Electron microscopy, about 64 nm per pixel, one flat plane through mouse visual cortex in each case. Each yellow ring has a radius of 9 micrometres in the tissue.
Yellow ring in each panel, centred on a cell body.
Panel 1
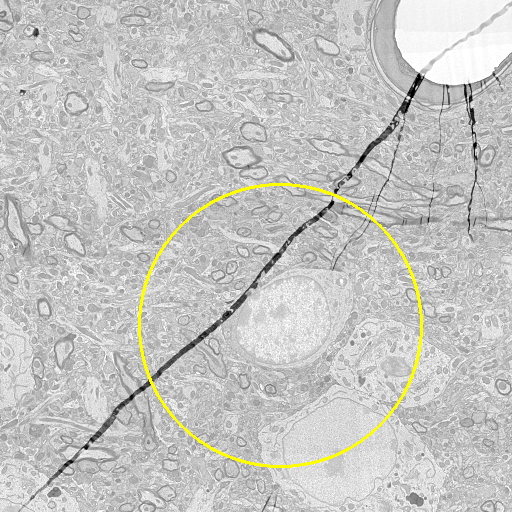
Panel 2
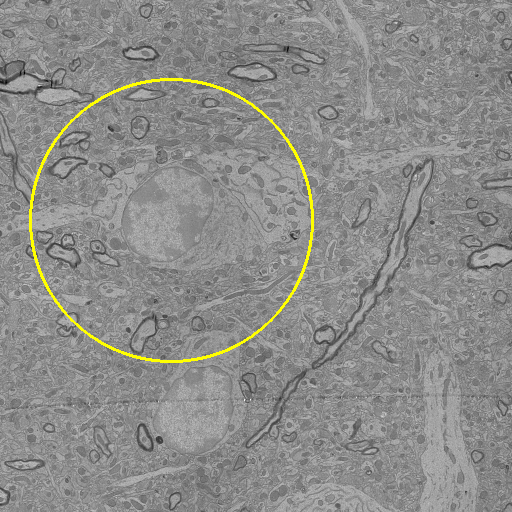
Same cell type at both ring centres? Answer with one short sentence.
Yes, both cells are of the same type.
